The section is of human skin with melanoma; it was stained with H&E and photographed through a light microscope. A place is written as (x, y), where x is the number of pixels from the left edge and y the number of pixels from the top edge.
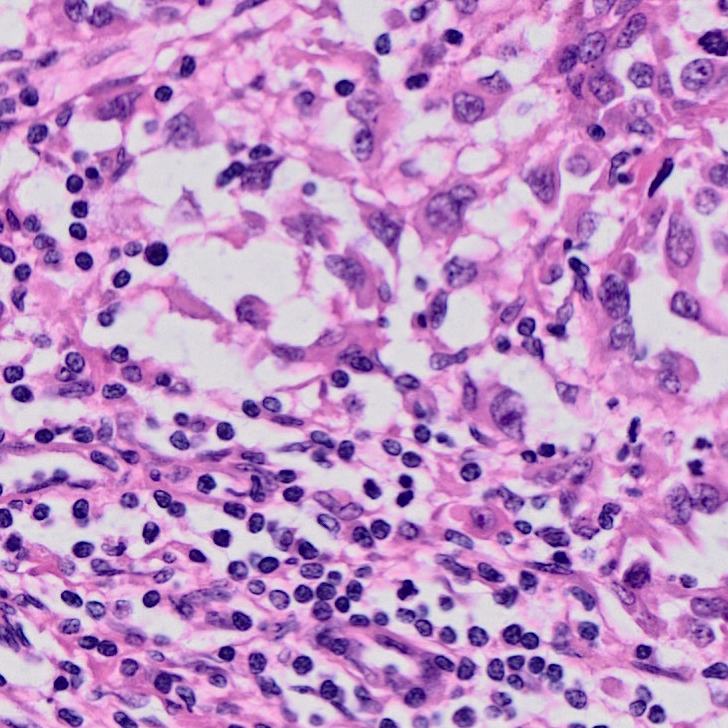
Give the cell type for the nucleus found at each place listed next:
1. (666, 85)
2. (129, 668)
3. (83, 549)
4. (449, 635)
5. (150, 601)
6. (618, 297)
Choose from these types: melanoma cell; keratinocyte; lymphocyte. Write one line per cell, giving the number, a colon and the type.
1: melanoma cell
2: lymphocyte
3: lymphocyte
4: lymphocyte
5: lymphocyte
6: melanoma cell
